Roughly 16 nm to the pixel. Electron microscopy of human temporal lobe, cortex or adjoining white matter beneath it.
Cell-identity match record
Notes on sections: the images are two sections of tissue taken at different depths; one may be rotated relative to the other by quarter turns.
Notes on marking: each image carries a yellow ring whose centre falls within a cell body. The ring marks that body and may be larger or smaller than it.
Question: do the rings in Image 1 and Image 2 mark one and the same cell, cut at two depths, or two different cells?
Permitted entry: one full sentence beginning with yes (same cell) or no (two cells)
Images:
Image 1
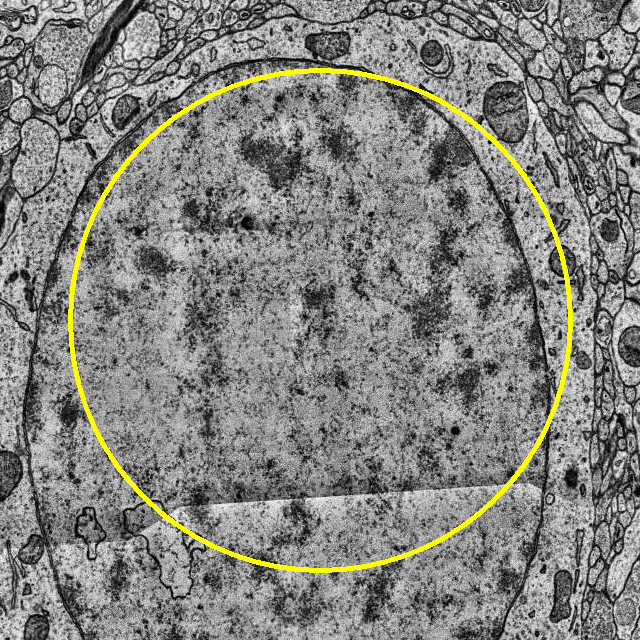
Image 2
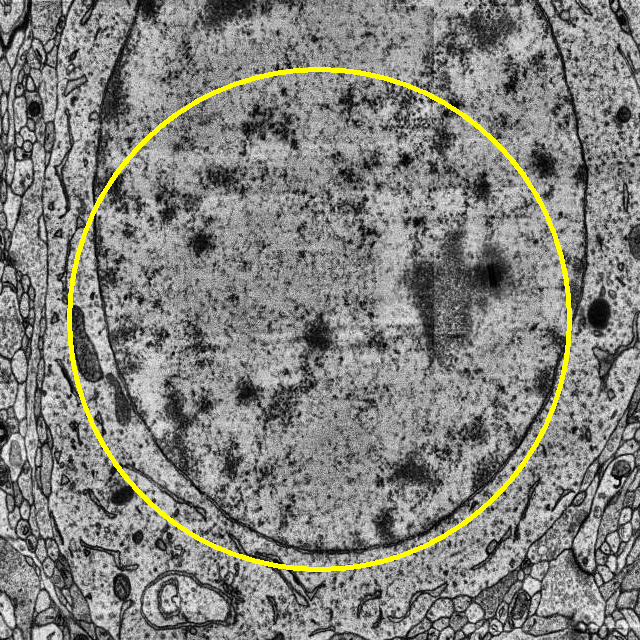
Yes, one cell appears twice, once in each ring.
